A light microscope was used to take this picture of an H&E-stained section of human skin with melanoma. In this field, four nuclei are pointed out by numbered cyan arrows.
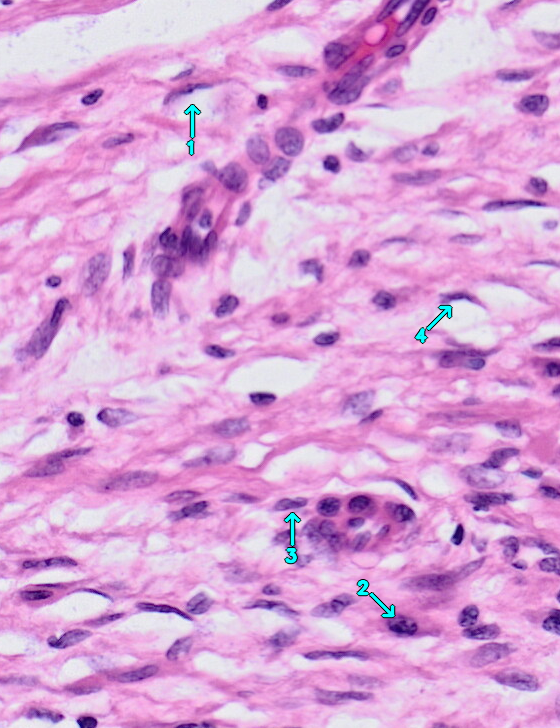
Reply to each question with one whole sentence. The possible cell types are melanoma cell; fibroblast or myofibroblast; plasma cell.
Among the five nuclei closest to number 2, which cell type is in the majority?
The majority of the five nuclei closest to number 2 belong to fibroblasts or myofibroblasts.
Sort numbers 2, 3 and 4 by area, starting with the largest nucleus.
From largest to smallest, the order is 2, 3, 4.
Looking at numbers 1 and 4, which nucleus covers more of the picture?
Nucleus 1 covers more area, about 1.5 times as much as nucleus 4.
